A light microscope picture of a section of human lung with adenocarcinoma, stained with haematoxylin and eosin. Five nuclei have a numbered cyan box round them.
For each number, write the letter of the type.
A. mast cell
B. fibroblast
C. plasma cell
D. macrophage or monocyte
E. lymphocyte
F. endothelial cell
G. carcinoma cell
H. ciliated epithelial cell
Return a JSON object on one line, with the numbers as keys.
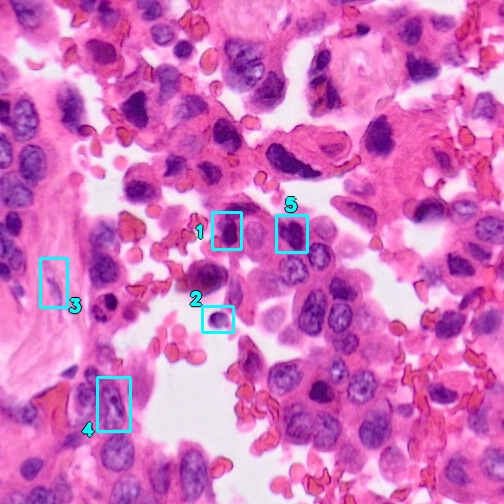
{"1": "G", "2": "E", "3": "B", "4": "G", "5": "G"}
